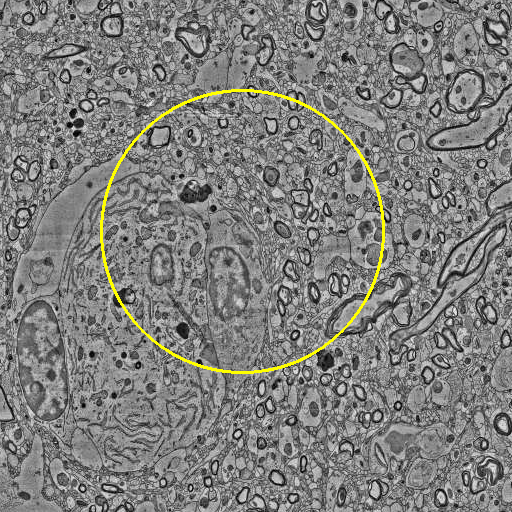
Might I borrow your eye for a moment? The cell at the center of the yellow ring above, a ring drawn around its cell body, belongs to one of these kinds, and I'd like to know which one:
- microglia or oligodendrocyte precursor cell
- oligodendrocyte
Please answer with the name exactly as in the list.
oligodendrocyte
